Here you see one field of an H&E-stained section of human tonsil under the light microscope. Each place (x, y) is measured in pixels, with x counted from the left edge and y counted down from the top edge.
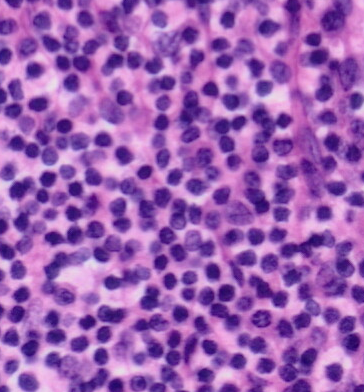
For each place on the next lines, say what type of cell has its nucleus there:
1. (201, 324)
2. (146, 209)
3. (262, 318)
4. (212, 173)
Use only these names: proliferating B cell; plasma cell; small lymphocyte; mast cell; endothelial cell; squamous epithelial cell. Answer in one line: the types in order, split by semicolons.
small lymphocyte; small lymphocyte; plasma cell; small lymphocyte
